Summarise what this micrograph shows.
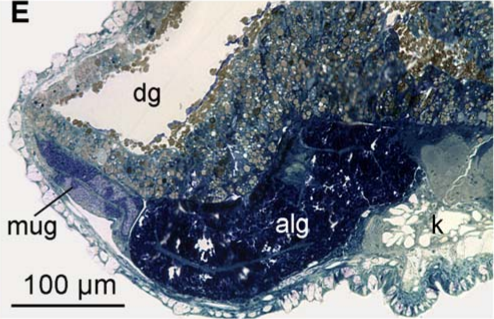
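Cross-section showing the albumen and mucus glands with the digestive gland and kidney close by. The albumen gland is a large, compact mass staining intensely dark blue-purple, with small pale clefts scattered through it. At its left end lies the mucus gland, an elongated, lighter violet structure with a finely streaked, columnar look. Above, the digestive gland surrounds an open lumen and its tissue is crowded with small brownish granules. At the right the kidney appears as pale, spongy, vacuolated tissue.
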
